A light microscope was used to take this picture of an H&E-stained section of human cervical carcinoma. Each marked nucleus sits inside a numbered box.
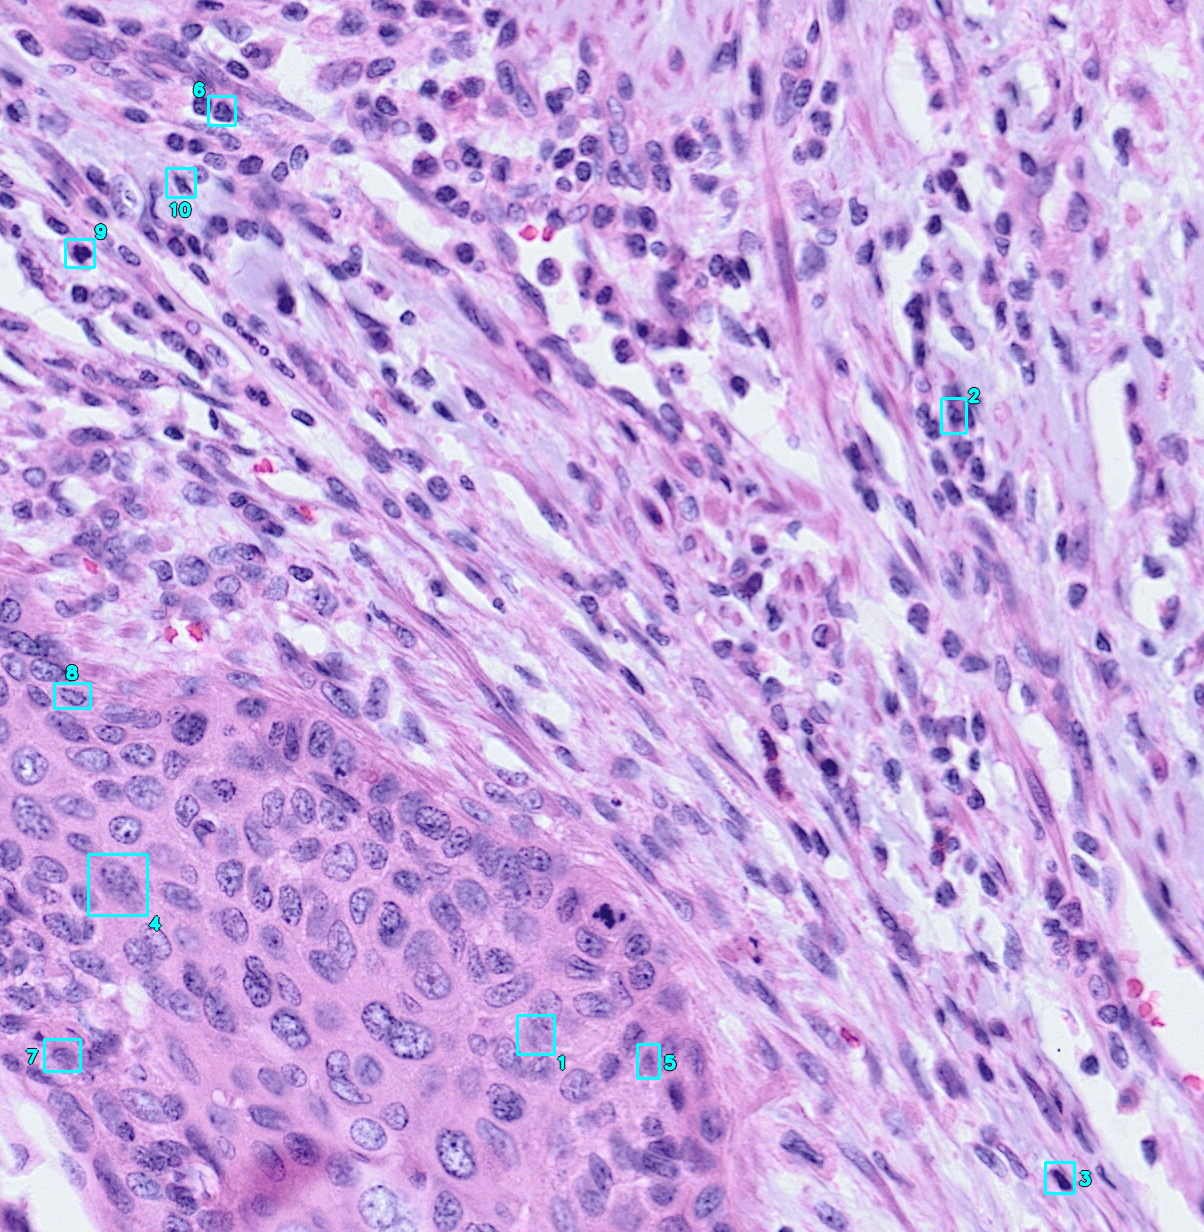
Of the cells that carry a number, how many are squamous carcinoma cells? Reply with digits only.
5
